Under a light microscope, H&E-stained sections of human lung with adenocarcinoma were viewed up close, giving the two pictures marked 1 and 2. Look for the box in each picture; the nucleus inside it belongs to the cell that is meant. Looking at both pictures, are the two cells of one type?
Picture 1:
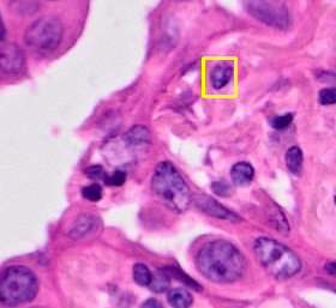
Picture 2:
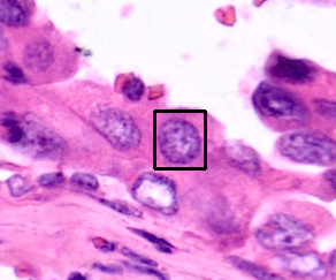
no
